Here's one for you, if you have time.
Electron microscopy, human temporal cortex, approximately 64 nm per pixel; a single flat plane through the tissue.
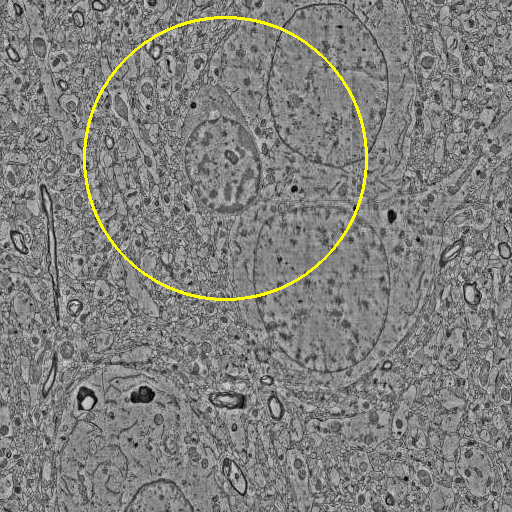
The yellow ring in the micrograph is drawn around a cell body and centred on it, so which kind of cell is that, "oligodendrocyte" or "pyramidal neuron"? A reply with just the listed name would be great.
oligodendrocyte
